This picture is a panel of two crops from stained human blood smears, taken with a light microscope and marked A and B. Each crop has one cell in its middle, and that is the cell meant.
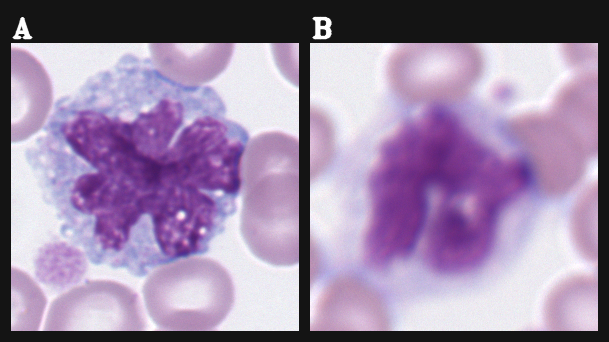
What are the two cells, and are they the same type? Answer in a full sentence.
Yes, both crops show monocytes in the middle.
